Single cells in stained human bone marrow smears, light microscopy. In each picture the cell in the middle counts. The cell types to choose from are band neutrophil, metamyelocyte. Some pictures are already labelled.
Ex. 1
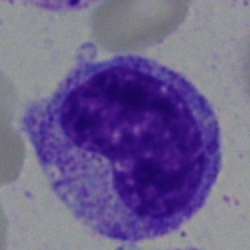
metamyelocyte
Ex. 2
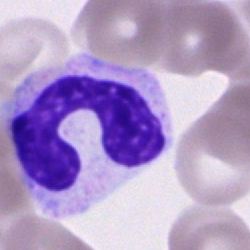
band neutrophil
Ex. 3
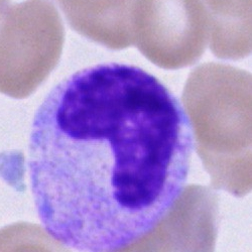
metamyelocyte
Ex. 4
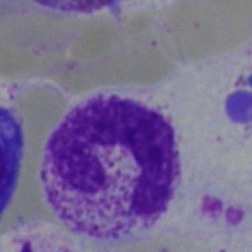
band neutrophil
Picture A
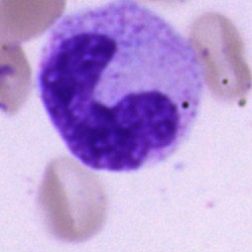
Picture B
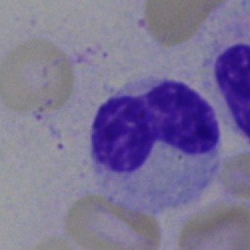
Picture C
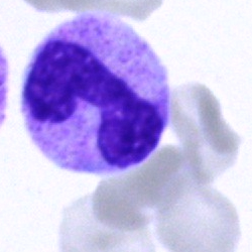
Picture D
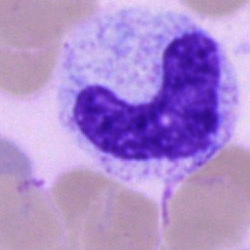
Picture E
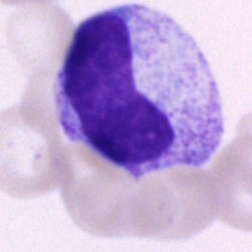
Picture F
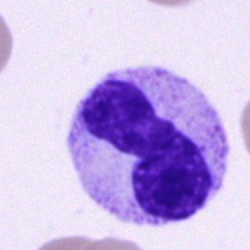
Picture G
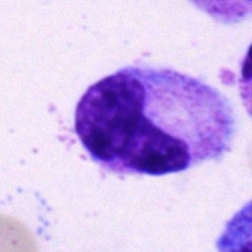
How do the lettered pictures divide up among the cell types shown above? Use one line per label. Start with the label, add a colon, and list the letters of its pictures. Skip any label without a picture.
band neutrophil: A, B, C, D, F
metamyelocyte: E, G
